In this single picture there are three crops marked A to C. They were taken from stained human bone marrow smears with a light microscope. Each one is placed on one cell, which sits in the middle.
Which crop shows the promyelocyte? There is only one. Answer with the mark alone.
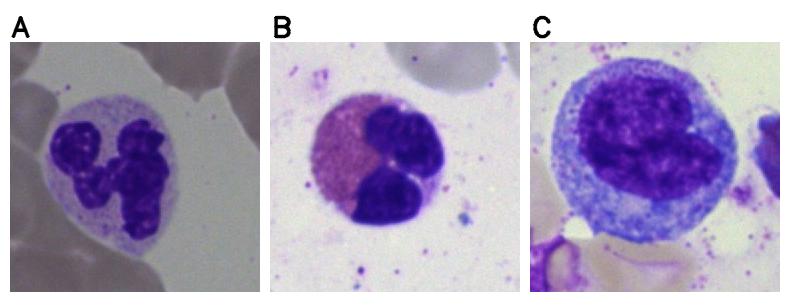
C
